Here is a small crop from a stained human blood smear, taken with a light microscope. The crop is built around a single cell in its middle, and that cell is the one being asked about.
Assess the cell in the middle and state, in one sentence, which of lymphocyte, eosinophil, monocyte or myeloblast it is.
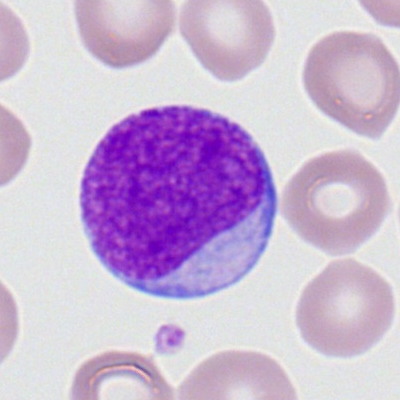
Framed in the middle of the crop is a myeloblast.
